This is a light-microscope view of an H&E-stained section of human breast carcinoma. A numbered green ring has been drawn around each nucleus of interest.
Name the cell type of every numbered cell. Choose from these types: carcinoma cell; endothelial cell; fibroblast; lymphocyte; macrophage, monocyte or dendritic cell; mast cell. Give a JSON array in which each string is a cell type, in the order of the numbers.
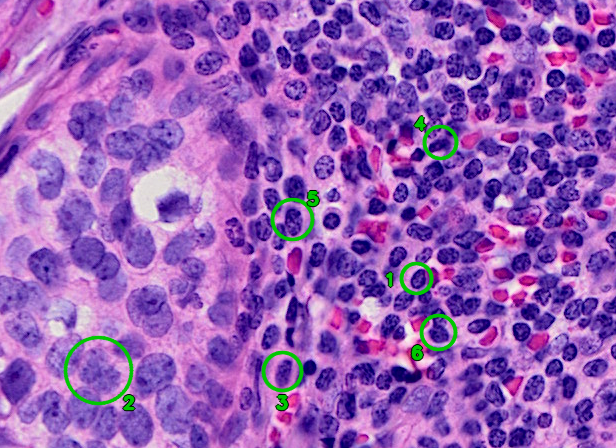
["lymphocyte", "carcinoma cell", "mast cell", "lymphocyte", "lymphocyte", "lymphocyte"]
